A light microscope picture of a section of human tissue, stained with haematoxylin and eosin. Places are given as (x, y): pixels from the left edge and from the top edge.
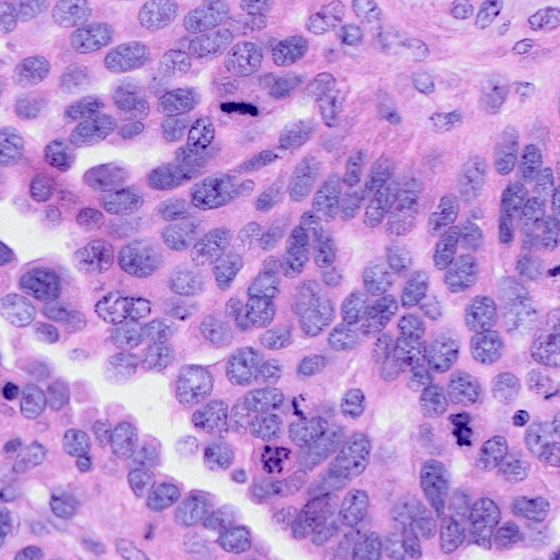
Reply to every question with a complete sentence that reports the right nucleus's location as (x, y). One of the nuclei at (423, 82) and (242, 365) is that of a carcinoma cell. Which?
In this pair, the nucleus at (242, 365) belongs to a carcinoma cell.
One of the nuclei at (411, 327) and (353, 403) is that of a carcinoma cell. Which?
The nucleus positioned at (411, 327) forms part of a carcinoma cell.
